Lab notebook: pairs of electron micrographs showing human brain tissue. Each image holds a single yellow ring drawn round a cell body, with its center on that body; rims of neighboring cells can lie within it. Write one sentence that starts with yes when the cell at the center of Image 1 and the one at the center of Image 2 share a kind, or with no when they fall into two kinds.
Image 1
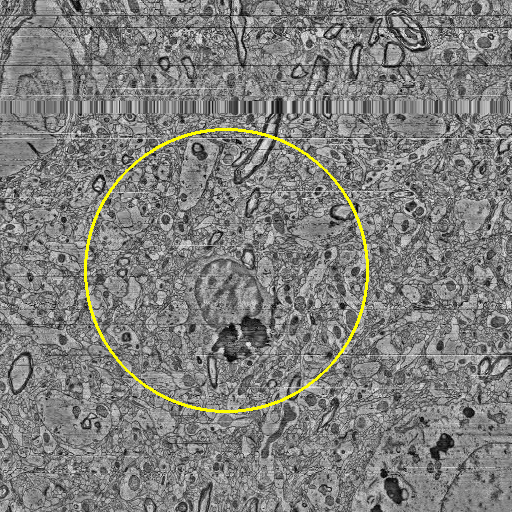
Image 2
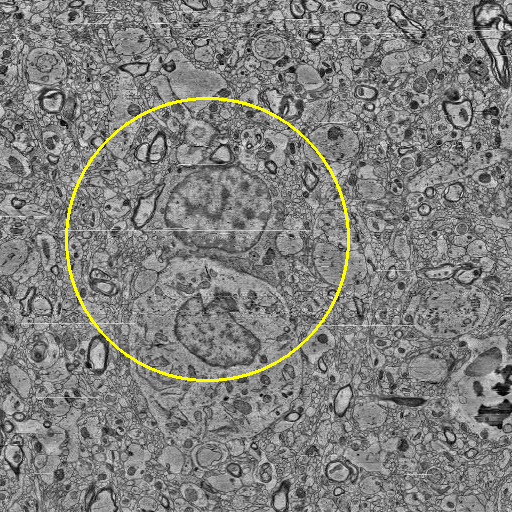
Yes, the centered cell in Image 1 and the centered cell in Image 2 are of one kind.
